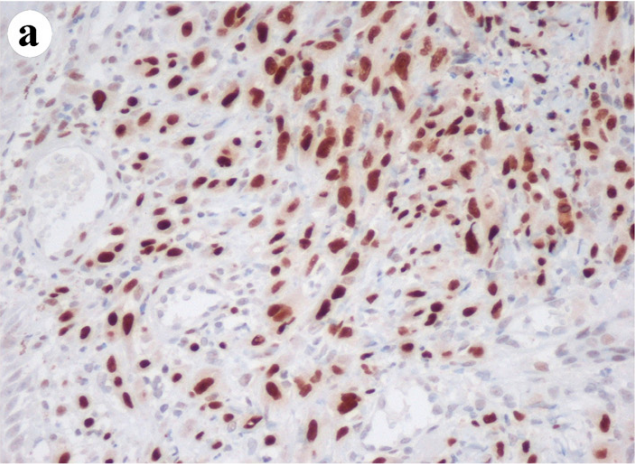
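The tumor is made of plump spindled and epithelioid cells lying in loose fascicles, with occasional small vessels. Their elongated to oval nuclei are diffusely and strongly stained dark brown. Some cells have abundant pinkish cytoplasm with faint staining. Smaller, blue-stained nuclei of background cells lie between the tumor cells.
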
